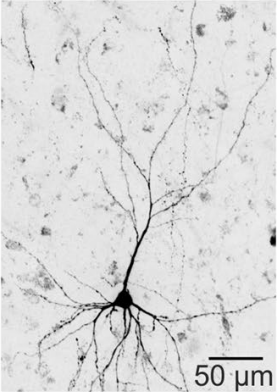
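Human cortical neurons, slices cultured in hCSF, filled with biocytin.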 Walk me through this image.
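The triangular cell body gives off one thick apical dendrite that rises and branches toward the top, and a tuft of thinner basal dendrites spreading from its base. Faintly stained cell bodies of neighbouring cells lie scattered in the background.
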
